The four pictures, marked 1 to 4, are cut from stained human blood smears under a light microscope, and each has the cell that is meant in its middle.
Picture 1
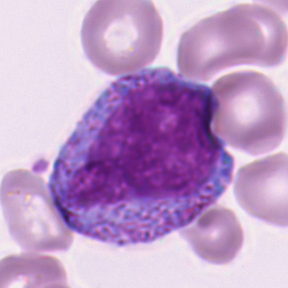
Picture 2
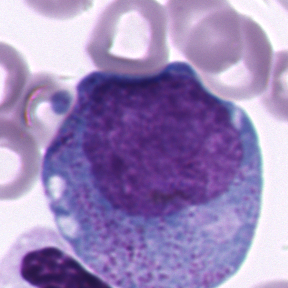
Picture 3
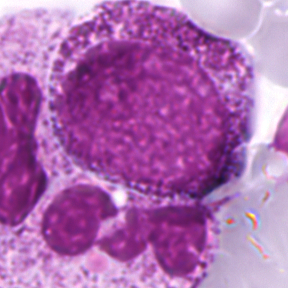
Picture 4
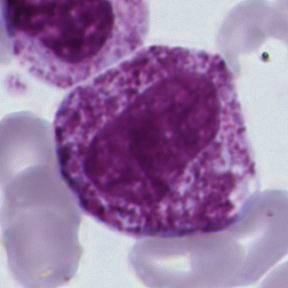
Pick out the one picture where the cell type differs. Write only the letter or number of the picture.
4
